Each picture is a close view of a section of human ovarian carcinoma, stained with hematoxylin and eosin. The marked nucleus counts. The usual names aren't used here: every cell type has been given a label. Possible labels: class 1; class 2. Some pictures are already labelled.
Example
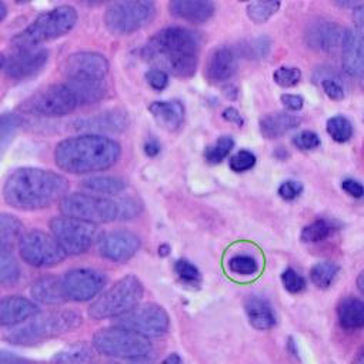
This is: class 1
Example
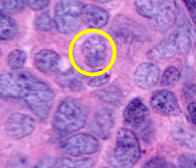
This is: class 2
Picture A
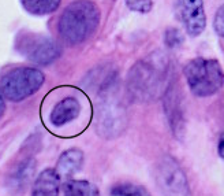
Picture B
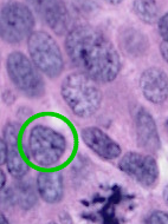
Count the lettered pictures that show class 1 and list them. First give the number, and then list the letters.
1: A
